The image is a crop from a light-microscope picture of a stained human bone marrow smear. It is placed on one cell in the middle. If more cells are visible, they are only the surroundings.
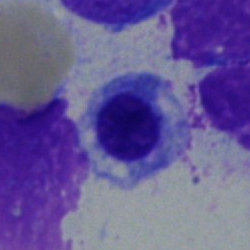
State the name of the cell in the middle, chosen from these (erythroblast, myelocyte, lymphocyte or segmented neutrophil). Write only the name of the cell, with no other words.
erythroblast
